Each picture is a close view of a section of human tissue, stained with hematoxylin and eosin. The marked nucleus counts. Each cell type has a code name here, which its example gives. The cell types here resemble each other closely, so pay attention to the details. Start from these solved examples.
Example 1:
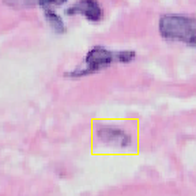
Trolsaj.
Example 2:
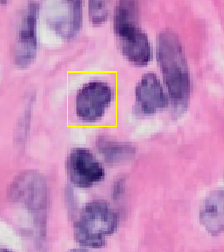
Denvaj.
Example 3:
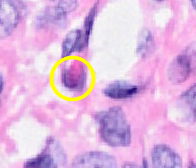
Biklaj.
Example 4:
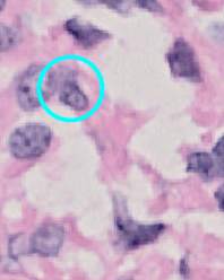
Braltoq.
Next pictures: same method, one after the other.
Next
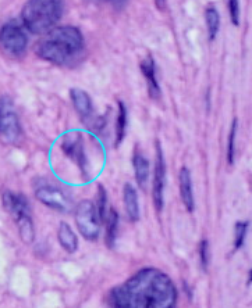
Trolsaj.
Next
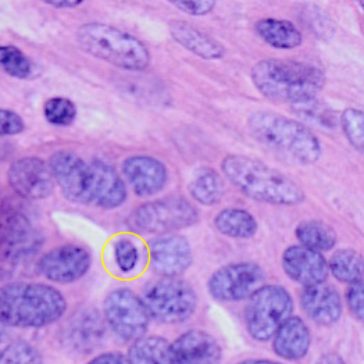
Denvaj.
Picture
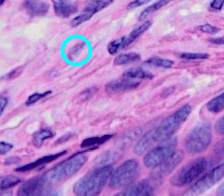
Trolsaj.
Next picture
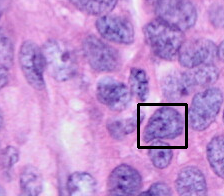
Braltoq.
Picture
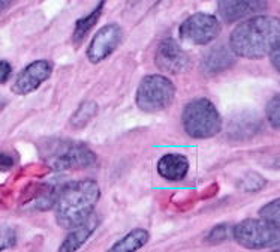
Denvaj.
